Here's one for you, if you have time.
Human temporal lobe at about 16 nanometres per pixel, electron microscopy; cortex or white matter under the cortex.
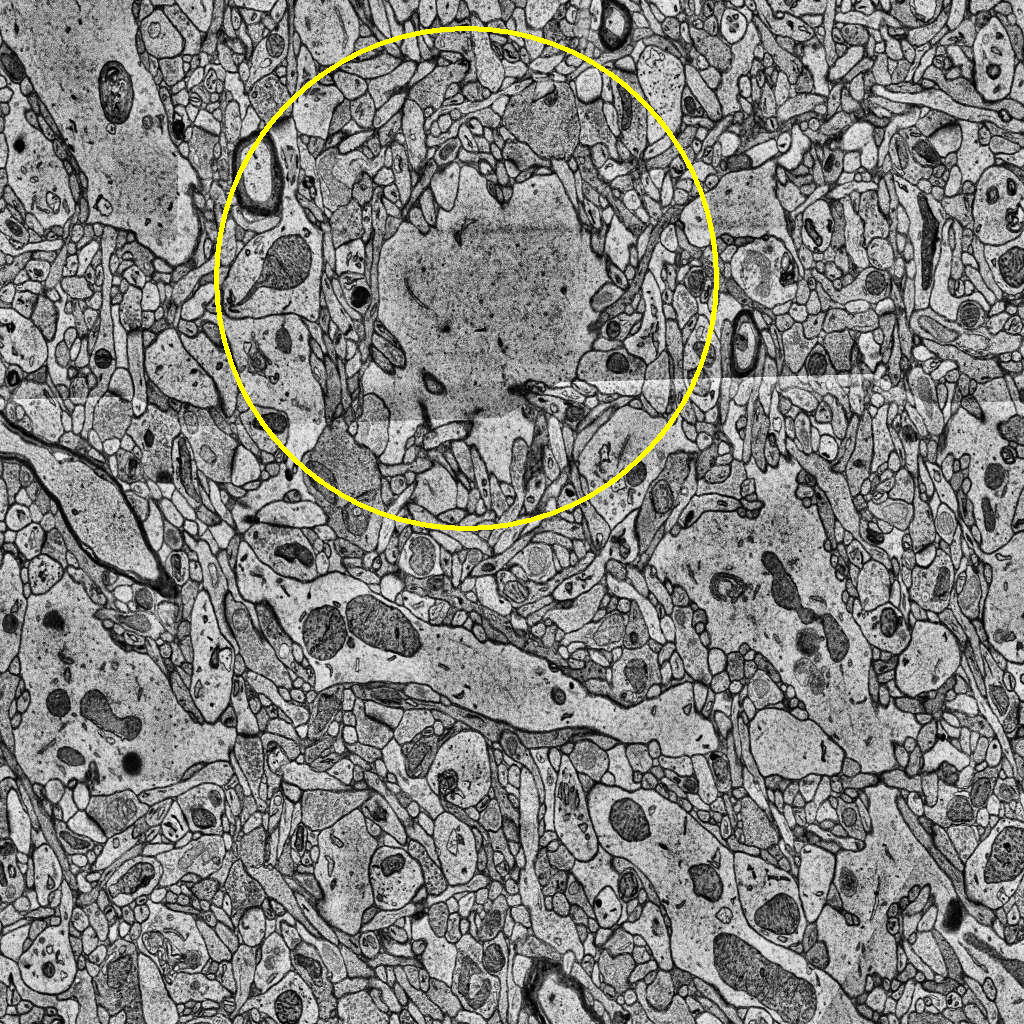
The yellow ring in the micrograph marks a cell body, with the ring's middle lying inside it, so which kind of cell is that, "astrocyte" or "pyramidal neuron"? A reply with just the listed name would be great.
astrocyte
